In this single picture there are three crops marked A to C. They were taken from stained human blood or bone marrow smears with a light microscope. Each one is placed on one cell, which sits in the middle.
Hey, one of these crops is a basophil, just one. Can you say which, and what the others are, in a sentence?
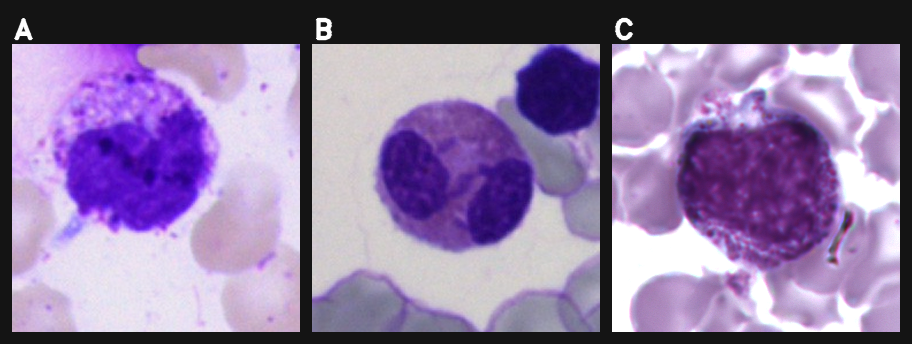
Crop A features a basophil, while crop B is an eosinophil and crop C is a myelocyte.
